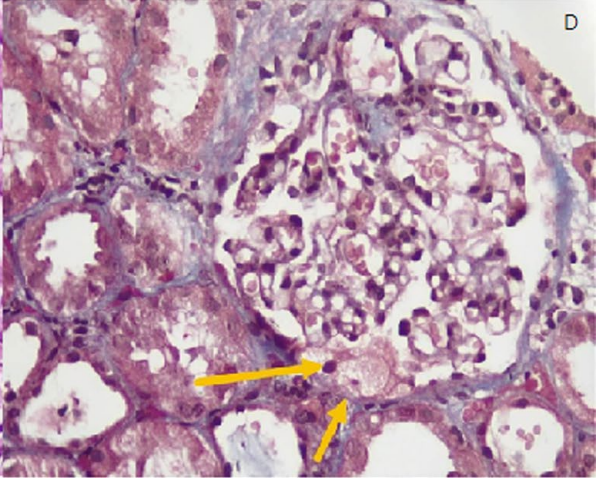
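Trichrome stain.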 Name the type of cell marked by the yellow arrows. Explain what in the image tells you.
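Foam cells. The arrows point to the edge of the glomerular tuft where it meets the capsule. Pale, finely vacuolated cytoplasm lies near the arrow tips.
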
